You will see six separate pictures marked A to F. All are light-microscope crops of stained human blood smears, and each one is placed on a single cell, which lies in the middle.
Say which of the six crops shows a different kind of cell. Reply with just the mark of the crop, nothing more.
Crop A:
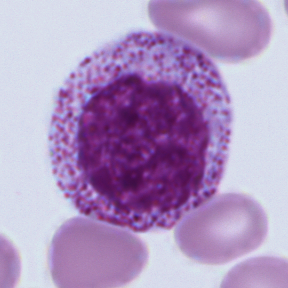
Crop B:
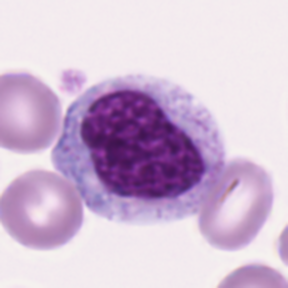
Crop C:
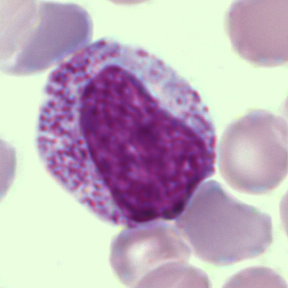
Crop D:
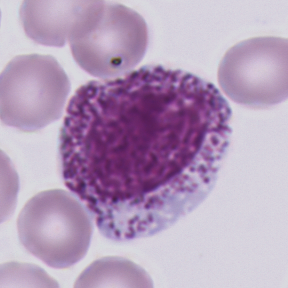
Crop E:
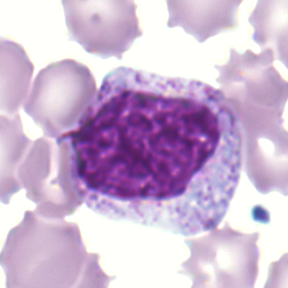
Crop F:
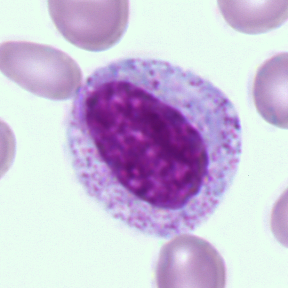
B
